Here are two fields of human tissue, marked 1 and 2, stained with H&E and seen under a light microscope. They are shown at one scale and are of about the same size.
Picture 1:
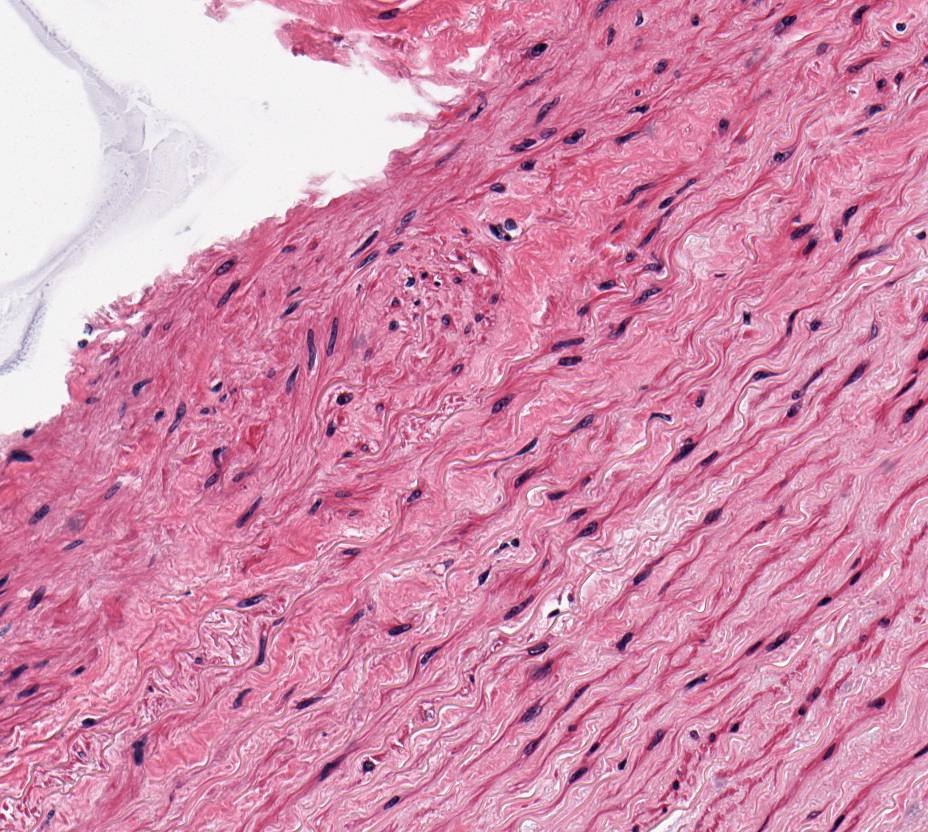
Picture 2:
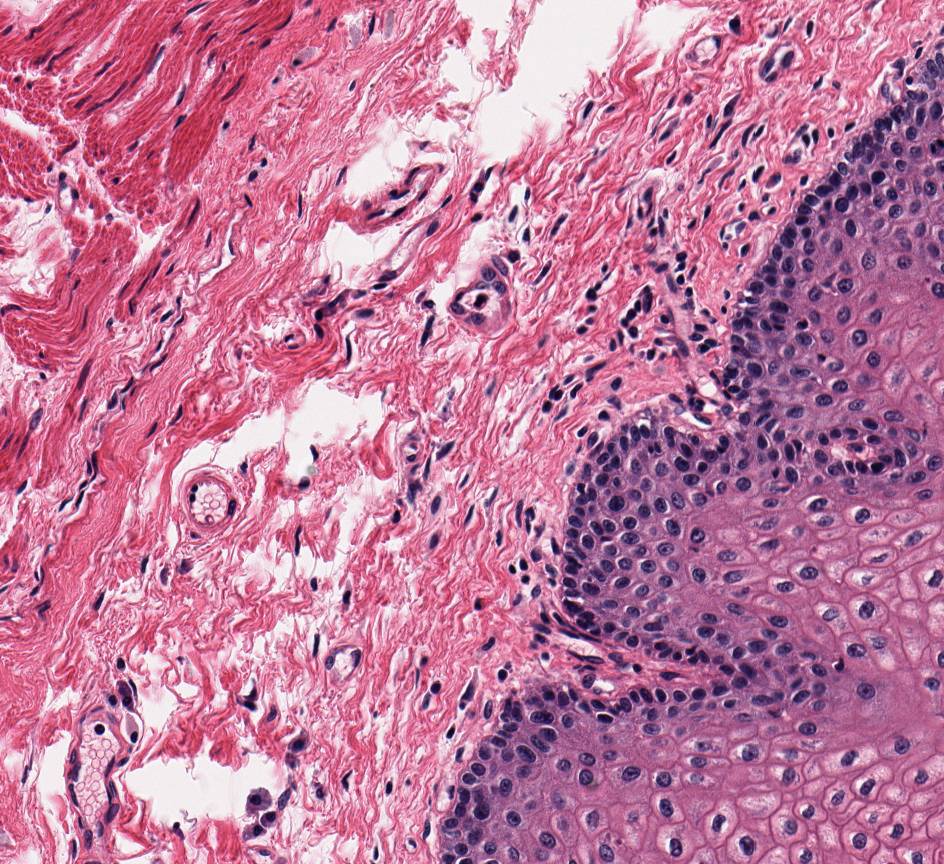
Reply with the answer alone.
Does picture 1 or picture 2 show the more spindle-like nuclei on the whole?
1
